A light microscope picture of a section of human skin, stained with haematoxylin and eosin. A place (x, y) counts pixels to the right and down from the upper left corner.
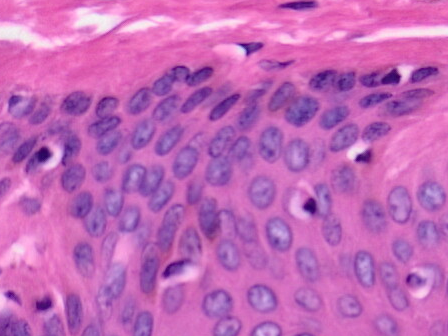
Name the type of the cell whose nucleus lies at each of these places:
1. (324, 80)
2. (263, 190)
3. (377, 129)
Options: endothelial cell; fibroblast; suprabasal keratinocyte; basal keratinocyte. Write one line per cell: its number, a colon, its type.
1: basal keratinocyte
2: suprabasal keratinocyte
3: basal keratinocyte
